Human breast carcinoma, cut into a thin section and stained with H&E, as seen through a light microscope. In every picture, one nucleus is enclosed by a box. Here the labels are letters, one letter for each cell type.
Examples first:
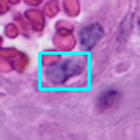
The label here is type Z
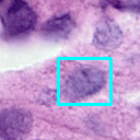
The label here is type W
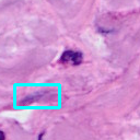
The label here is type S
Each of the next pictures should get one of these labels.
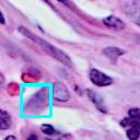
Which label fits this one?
type Z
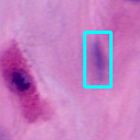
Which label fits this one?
type S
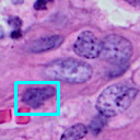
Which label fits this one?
type Z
